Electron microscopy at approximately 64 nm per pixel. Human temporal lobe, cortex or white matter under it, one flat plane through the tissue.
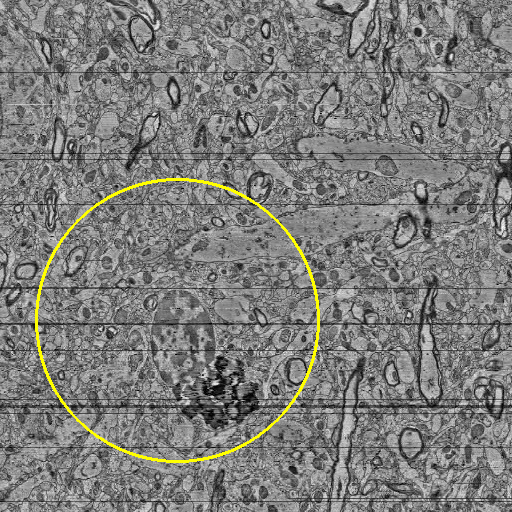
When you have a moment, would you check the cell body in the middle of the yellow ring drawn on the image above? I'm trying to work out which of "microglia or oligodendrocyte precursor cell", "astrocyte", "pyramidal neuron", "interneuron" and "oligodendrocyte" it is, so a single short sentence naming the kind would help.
This cell body belongs to a microglial cell or oligodendrocyte precursor cell.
